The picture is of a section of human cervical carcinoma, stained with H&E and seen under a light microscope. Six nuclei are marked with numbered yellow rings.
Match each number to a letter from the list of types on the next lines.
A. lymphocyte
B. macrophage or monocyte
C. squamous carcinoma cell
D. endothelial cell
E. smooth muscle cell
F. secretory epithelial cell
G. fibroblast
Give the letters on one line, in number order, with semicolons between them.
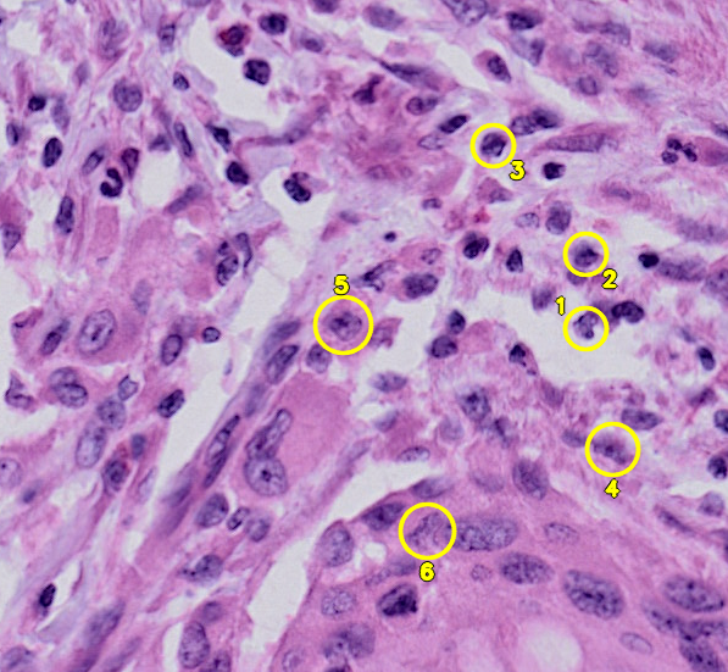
A; A; A; G; B; C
